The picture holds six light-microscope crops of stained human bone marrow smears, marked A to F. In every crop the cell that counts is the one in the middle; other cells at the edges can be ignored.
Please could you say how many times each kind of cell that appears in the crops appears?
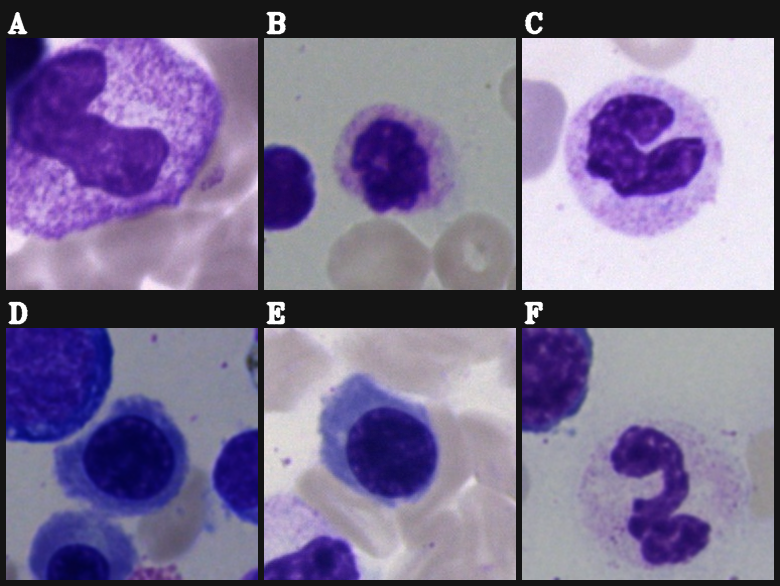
band neutrophil: 2
segmented neutrophil: 2
erythroblast: 2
